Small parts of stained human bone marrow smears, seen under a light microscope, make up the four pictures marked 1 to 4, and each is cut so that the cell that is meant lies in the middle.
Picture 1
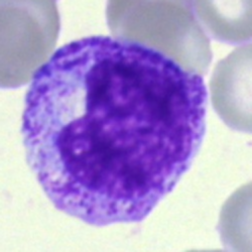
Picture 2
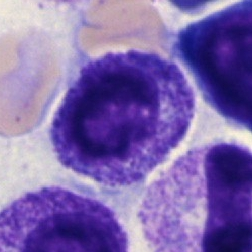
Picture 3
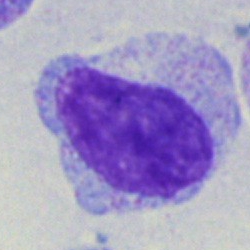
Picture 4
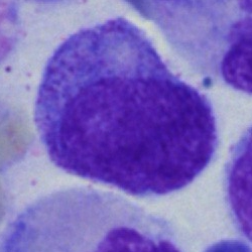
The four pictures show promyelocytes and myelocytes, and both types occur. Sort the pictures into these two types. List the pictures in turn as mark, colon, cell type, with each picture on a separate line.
1: myelocyte
2: myelocyte
3: myelocyte
4: promyelocyte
